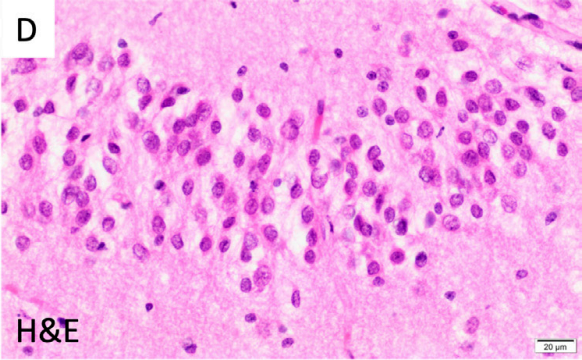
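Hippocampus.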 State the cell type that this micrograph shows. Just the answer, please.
granule cells of the dentate gyrus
